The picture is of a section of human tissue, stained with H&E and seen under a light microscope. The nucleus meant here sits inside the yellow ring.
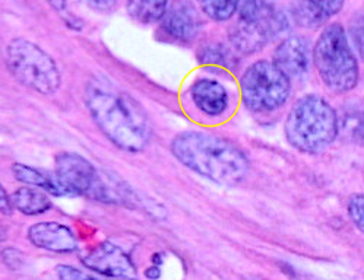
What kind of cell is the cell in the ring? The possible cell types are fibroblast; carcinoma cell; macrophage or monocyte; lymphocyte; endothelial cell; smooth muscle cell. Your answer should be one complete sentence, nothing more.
In terms of identity, the cell in the ring is a macrophage or monocyte.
